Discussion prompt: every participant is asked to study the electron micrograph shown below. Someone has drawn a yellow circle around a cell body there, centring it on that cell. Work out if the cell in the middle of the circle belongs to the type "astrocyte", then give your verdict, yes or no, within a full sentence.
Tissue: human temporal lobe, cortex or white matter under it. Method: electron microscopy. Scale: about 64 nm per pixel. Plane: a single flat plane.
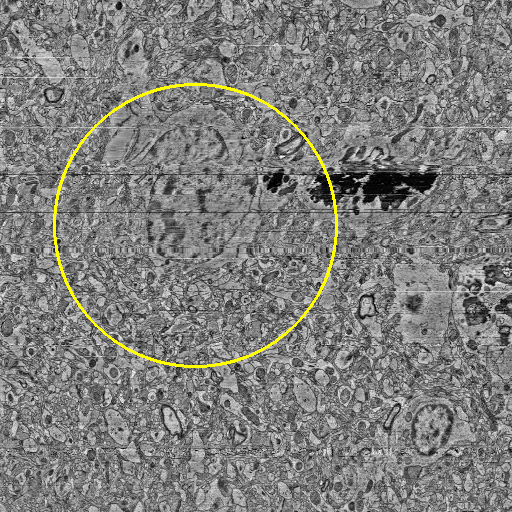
Yes, my verdict is that the cell in the circle's centre is of that type.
